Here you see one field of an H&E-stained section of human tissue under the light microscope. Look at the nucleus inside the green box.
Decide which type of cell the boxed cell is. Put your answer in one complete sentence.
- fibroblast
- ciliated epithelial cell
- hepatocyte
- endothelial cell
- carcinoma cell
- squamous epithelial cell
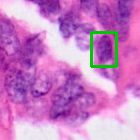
The boxed cell is a ciliated epithelial cell.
